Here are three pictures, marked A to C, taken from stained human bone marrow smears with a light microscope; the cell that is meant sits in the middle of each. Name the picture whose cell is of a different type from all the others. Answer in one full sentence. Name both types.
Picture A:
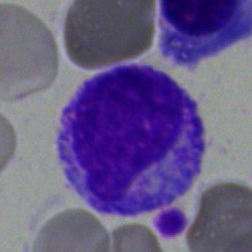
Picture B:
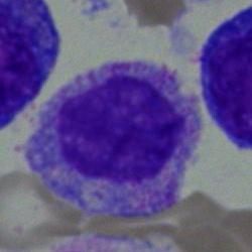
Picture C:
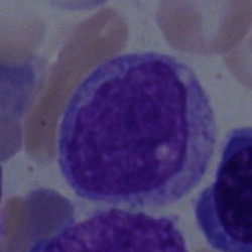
All pictures except C show myelocytes; picture C shows a monocyte.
